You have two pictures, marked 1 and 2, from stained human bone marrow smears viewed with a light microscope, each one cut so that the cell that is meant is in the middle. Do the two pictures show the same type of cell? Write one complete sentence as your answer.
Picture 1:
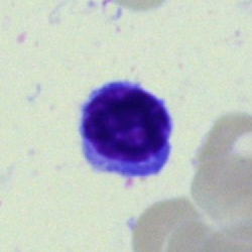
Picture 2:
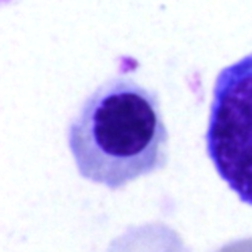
No, picture 1 shows a lymphocyte and picture 2 shows an erythroblast.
